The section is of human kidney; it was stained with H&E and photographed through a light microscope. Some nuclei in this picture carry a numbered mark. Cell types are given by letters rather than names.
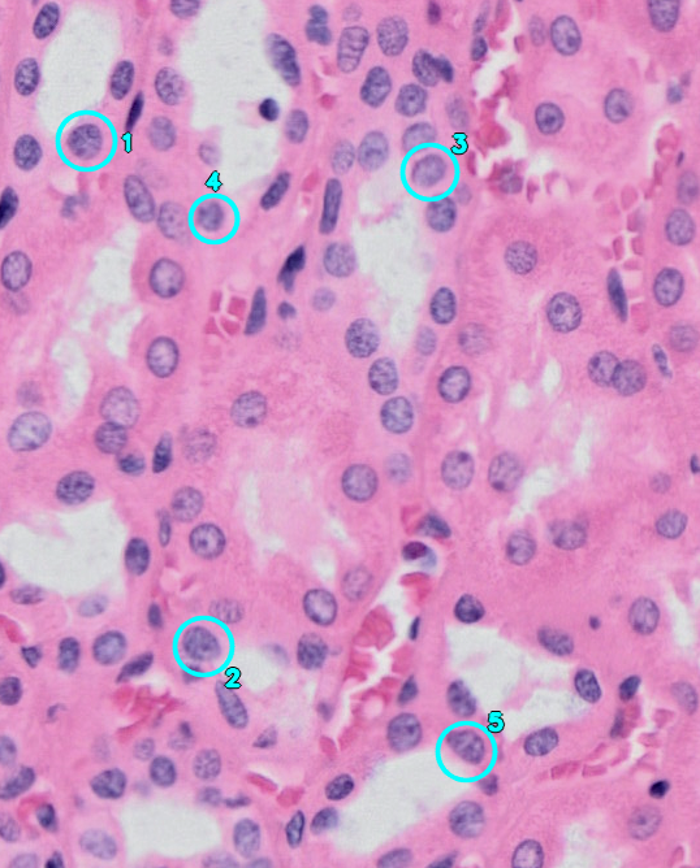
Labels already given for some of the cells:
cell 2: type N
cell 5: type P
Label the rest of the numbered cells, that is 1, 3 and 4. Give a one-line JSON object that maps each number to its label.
{"1": "type N", "3": "type N", "4": "type P"}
